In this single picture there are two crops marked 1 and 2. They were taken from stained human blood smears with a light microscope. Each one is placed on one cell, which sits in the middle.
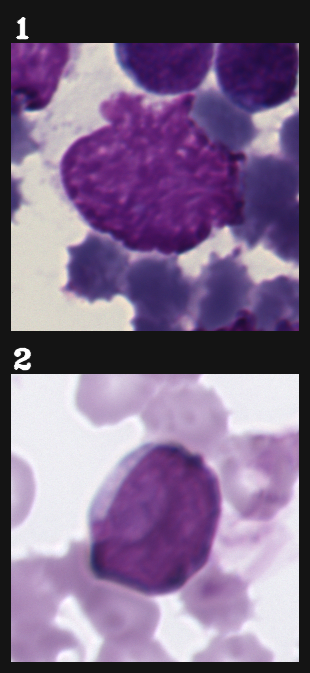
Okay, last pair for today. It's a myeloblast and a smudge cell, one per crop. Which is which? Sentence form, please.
Crop 1 holds a smudge cell; a myeloblast occupies crop 2.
